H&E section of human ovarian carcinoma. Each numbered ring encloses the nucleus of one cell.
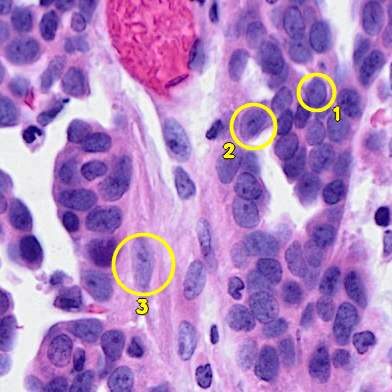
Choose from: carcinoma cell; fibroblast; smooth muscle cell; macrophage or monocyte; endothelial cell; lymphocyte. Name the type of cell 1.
carcinoma cell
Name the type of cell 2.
carcinoma cell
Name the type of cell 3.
fibroblast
